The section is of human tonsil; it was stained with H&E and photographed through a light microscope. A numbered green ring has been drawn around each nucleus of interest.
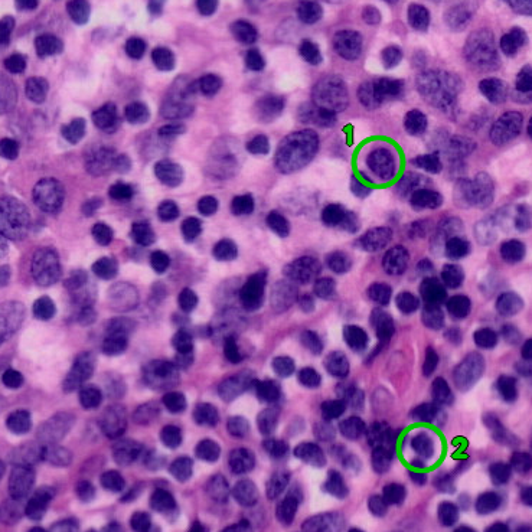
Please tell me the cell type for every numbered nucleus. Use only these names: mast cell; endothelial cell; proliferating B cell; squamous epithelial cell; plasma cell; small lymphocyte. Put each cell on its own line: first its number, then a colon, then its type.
1: plasma cell
2: small lymphocyte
